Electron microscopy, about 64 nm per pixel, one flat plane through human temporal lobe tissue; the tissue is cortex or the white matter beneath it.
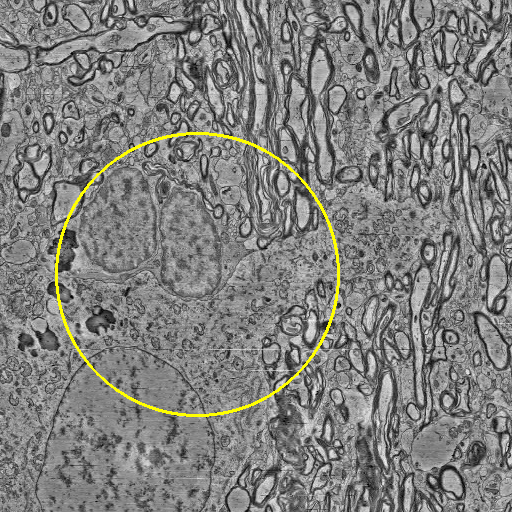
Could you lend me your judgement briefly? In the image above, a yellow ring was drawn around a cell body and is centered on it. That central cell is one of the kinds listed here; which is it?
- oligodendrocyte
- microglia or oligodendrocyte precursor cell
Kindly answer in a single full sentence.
Going by the list, an oligodendrocyte is the kind at the ring's center in the picture.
